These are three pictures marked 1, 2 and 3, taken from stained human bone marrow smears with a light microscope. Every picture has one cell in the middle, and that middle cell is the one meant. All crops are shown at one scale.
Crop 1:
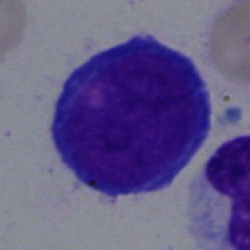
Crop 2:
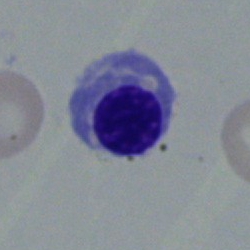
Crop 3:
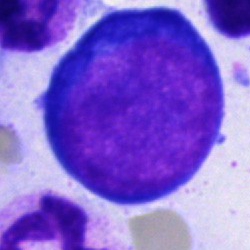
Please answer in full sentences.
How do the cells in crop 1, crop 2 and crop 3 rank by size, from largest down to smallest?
Largest first: 3, 1, 2.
